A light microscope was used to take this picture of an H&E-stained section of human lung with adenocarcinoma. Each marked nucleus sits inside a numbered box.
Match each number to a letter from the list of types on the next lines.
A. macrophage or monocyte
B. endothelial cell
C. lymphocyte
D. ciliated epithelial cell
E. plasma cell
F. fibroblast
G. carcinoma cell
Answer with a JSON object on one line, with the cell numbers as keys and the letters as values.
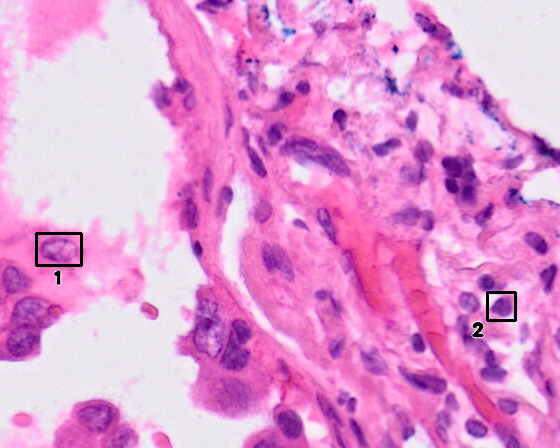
{"1": "A", "2": "C"}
